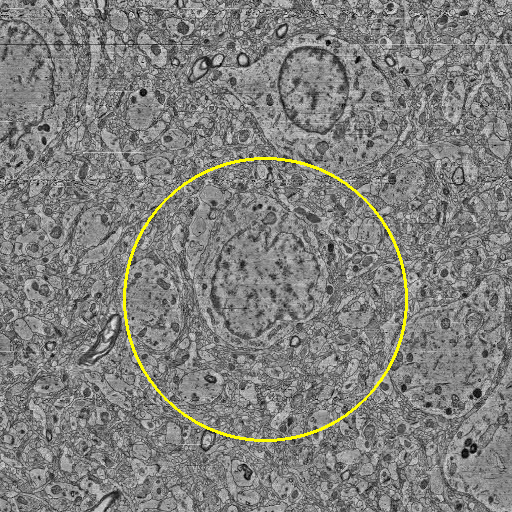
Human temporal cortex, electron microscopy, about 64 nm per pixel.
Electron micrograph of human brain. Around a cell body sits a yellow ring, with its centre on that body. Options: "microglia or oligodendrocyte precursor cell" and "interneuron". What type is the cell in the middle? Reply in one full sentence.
The cell sitting at the centre of the yellow ring is an interneuron.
